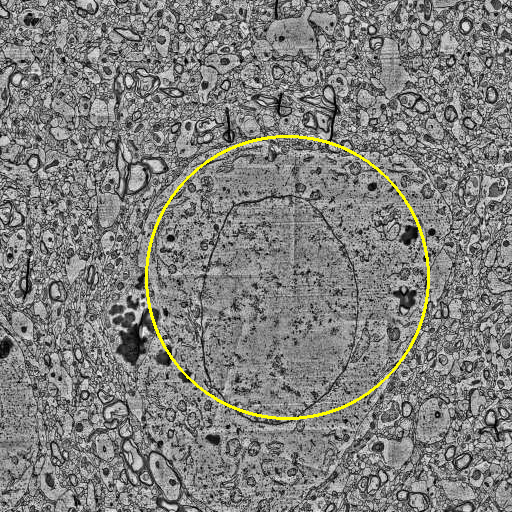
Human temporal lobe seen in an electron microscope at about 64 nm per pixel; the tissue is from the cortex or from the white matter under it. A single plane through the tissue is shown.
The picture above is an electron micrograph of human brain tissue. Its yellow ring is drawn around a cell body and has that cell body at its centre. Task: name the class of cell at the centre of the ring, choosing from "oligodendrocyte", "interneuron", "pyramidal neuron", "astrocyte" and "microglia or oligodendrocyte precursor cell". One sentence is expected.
The ring surrounds the body of a pyramidal neuron.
